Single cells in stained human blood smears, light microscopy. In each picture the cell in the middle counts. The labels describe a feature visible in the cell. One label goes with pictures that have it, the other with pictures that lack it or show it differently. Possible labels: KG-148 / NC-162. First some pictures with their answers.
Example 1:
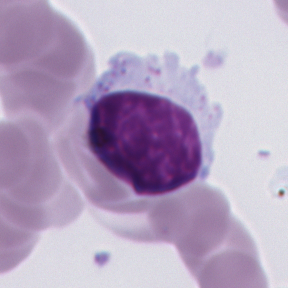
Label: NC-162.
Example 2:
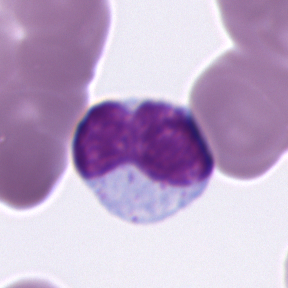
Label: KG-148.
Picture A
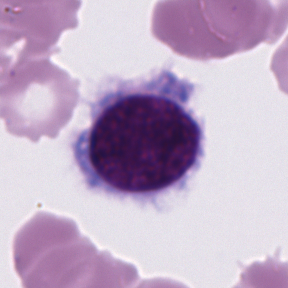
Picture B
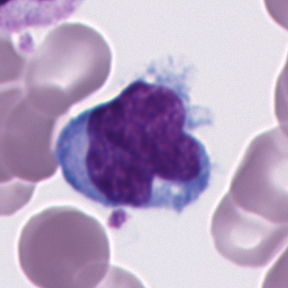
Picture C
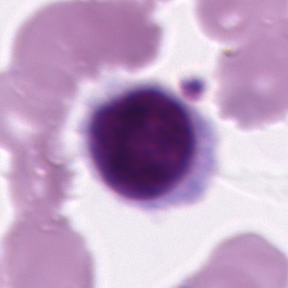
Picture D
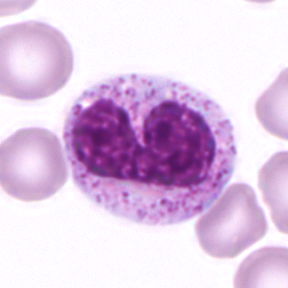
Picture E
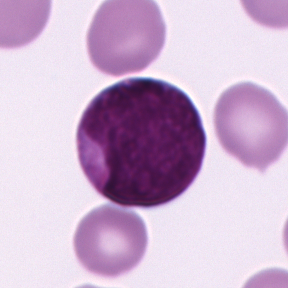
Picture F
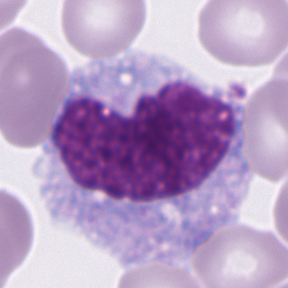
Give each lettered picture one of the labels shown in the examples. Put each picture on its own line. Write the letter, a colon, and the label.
A: NC-162.
B: KG-148.
C: NC-162.
D: KG-148.
E: NC-162.
F: NC-162.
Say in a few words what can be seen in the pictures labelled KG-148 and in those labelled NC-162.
KG-148: lobed nucleus; NC-162: single compact nucleus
